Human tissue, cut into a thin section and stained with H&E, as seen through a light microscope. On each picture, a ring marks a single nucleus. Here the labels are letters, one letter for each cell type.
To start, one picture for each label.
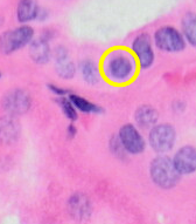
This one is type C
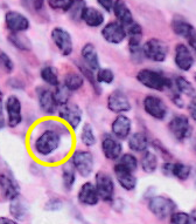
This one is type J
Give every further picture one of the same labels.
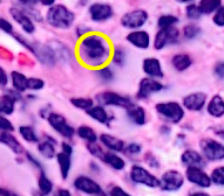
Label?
type J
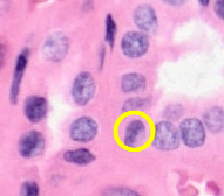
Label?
type C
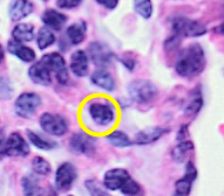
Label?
type J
